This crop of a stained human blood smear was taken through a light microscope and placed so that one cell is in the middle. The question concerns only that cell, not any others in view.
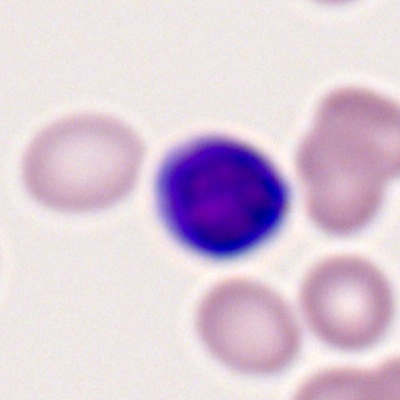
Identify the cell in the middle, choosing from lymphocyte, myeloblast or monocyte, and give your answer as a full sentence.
The middle position in this crop is taken by a lymphocyte.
